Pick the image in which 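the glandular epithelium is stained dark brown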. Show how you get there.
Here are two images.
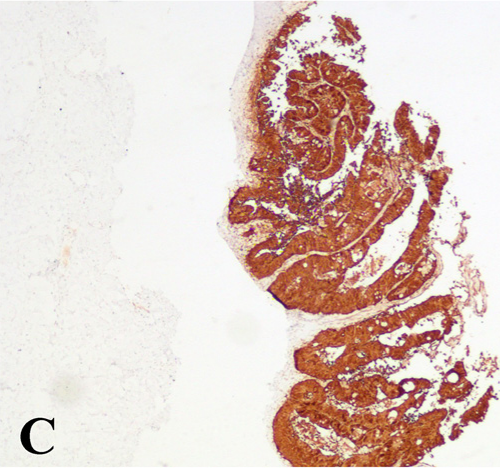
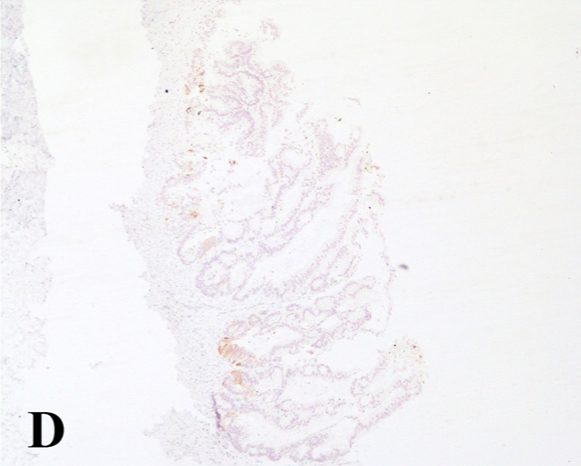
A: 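The first image. Second image: the folded glandular epithelium is pale, with only faint traces of colour. First image: the folded glandular epithelium is intensely brown throughout.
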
